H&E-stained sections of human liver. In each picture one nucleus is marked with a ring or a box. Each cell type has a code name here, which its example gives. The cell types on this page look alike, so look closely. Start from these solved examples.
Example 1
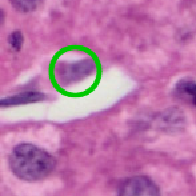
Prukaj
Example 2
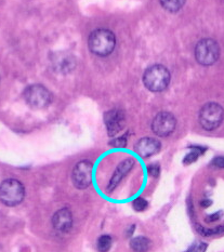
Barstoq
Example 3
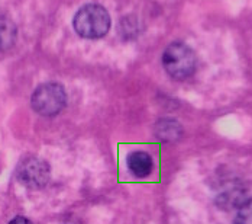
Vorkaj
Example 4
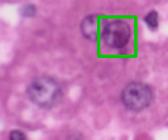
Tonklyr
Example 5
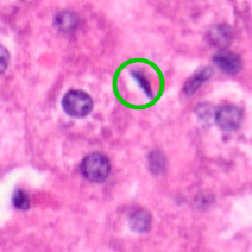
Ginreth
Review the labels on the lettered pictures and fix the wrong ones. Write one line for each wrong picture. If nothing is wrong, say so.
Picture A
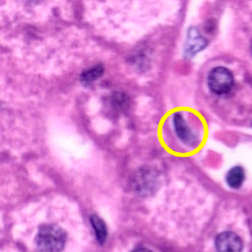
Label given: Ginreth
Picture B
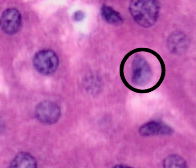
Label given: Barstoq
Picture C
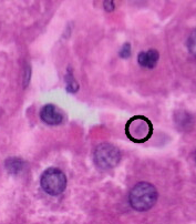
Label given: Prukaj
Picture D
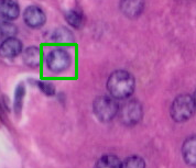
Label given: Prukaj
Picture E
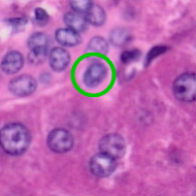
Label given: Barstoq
Wrong: B (Barstoq); correct: Ginreth
Wrong: D (Prukaj); correct: Barstoq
